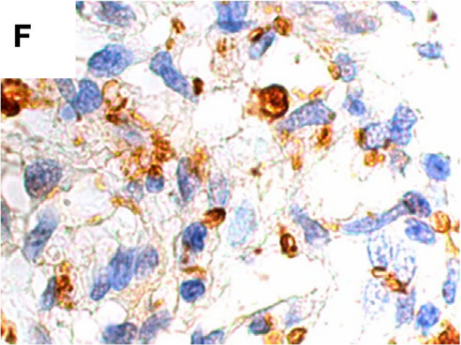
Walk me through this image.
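Most nuclei are large, oval or irregular, and stained blue by the counterstain. Scattered among them are cells or cell fragments stained dark brown, some as round intensely brown bodies and some as granular brown material. The brown stain sits mostly in cytoplasm beside the blue nuclei rather than over them. Thin strands of connective tissue run between the cells.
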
